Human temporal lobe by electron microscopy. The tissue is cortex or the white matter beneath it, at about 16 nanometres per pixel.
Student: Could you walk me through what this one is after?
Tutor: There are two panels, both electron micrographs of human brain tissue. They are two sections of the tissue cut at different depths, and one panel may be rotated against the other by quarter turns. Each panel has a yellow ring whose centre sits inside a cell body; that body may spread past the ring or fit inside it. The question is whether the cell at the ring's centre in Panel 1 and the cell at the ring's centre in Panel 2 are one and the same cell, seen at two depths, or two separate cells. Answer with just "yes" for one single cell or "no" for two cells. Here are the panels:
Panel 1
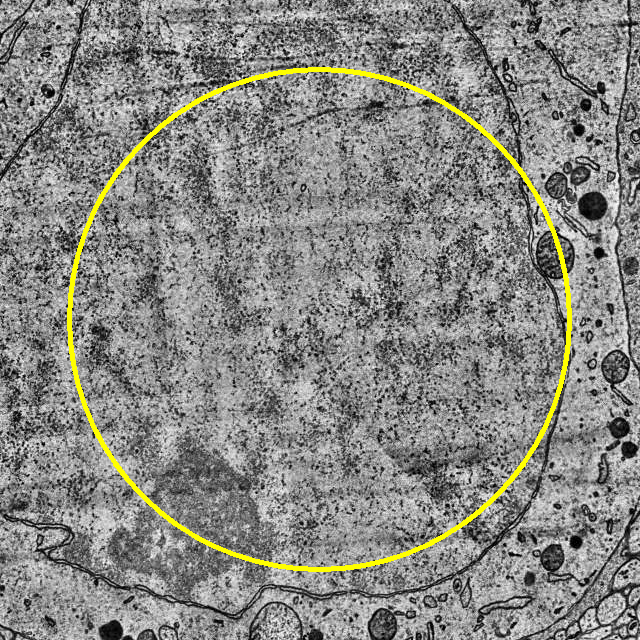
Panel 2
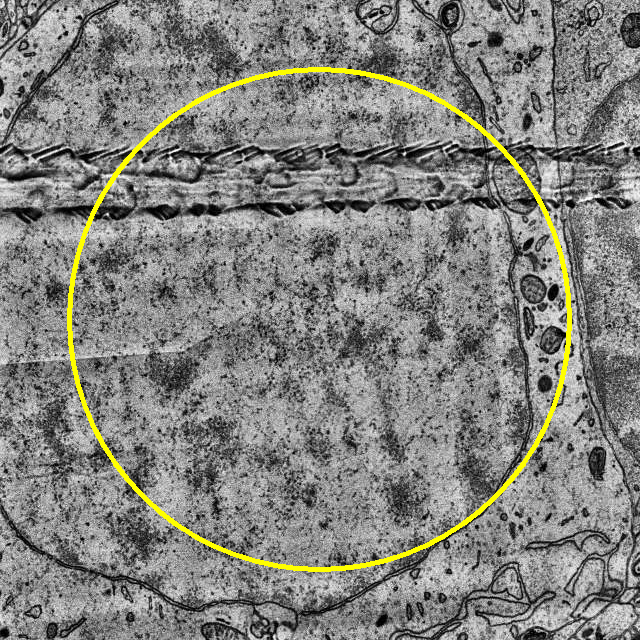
yes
